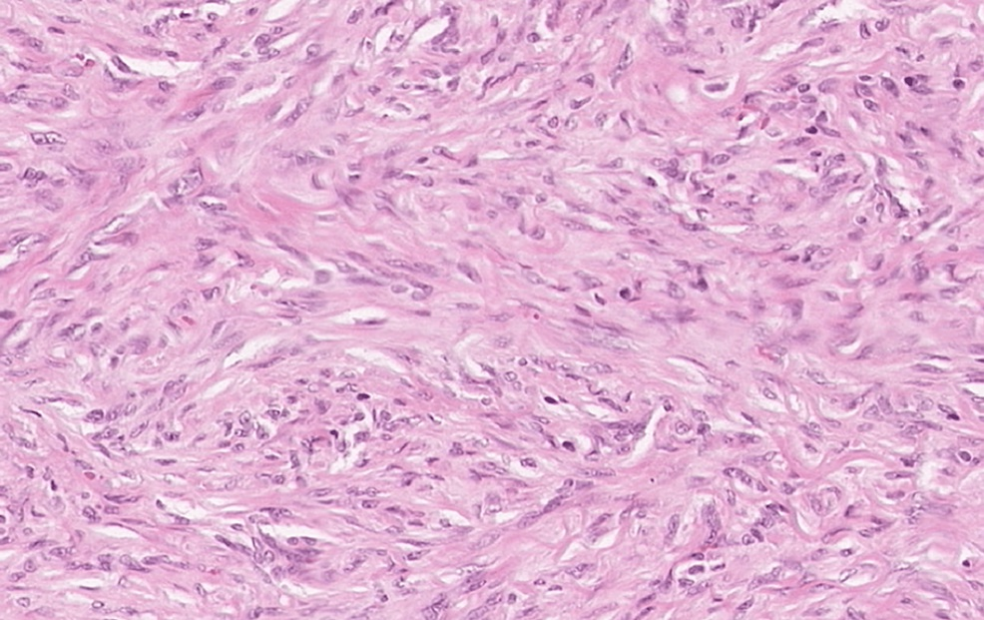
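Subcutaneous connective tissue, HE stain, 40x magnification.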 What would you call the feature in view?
Fibrous stroma.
